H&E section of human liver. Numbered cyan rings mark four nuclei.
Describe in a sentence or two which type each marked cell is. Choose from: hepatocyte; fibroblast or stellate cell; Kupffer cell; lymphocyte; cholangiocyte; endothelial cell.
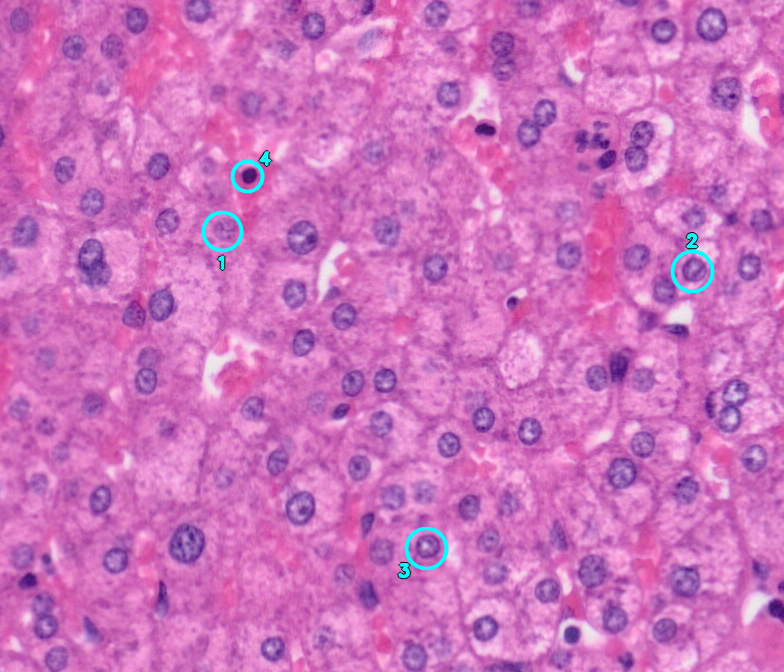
Cells 1, 2 and 3 are hepatocytes. Cell 4 is a lymphocyte.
